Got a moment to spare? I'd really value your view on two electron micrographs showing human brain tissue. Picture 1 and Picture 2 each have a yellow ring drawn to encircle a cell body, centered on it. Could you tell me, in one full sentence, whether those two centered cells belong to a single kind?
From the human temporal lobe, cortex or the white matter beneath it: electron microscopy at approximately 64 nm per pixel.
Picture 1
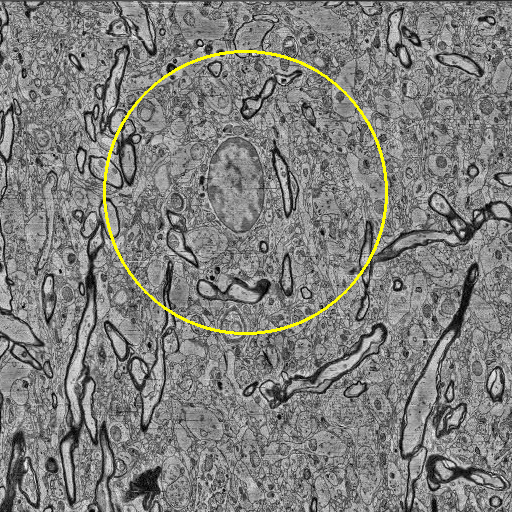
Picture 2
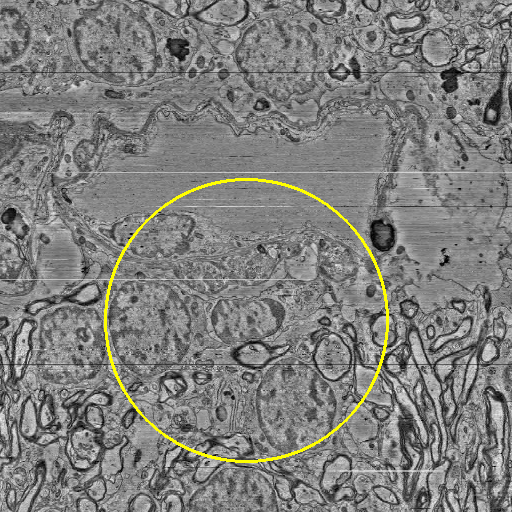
Yes, the two centered cells in Picture 1 and Picture 2 are of a single kind.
